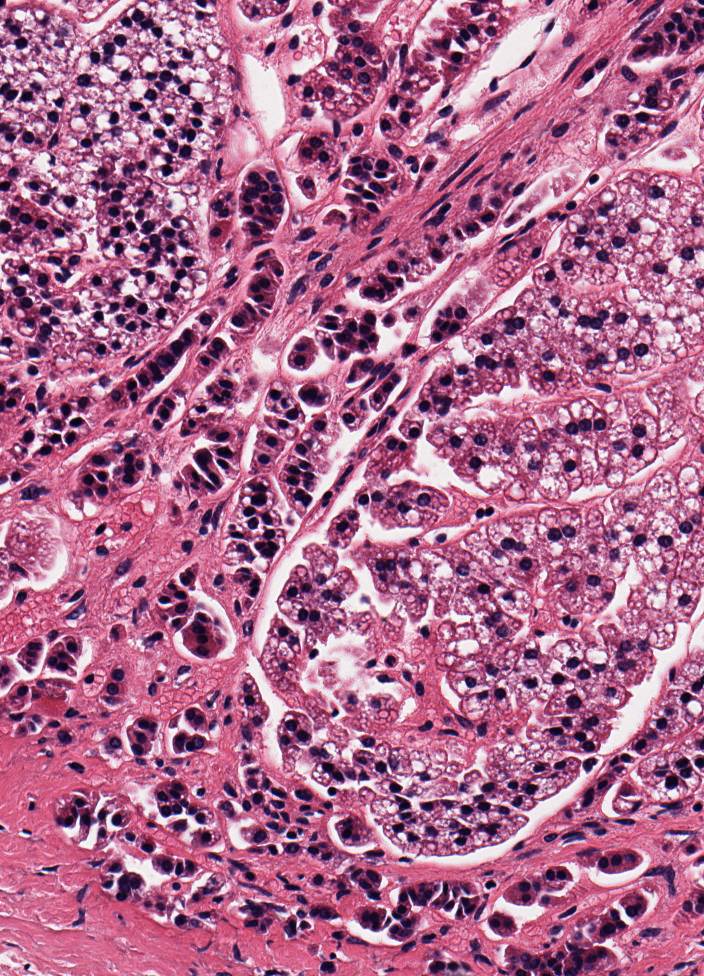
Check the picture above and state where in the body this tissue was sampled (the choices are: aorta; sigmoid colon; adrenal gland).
adrenal gland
